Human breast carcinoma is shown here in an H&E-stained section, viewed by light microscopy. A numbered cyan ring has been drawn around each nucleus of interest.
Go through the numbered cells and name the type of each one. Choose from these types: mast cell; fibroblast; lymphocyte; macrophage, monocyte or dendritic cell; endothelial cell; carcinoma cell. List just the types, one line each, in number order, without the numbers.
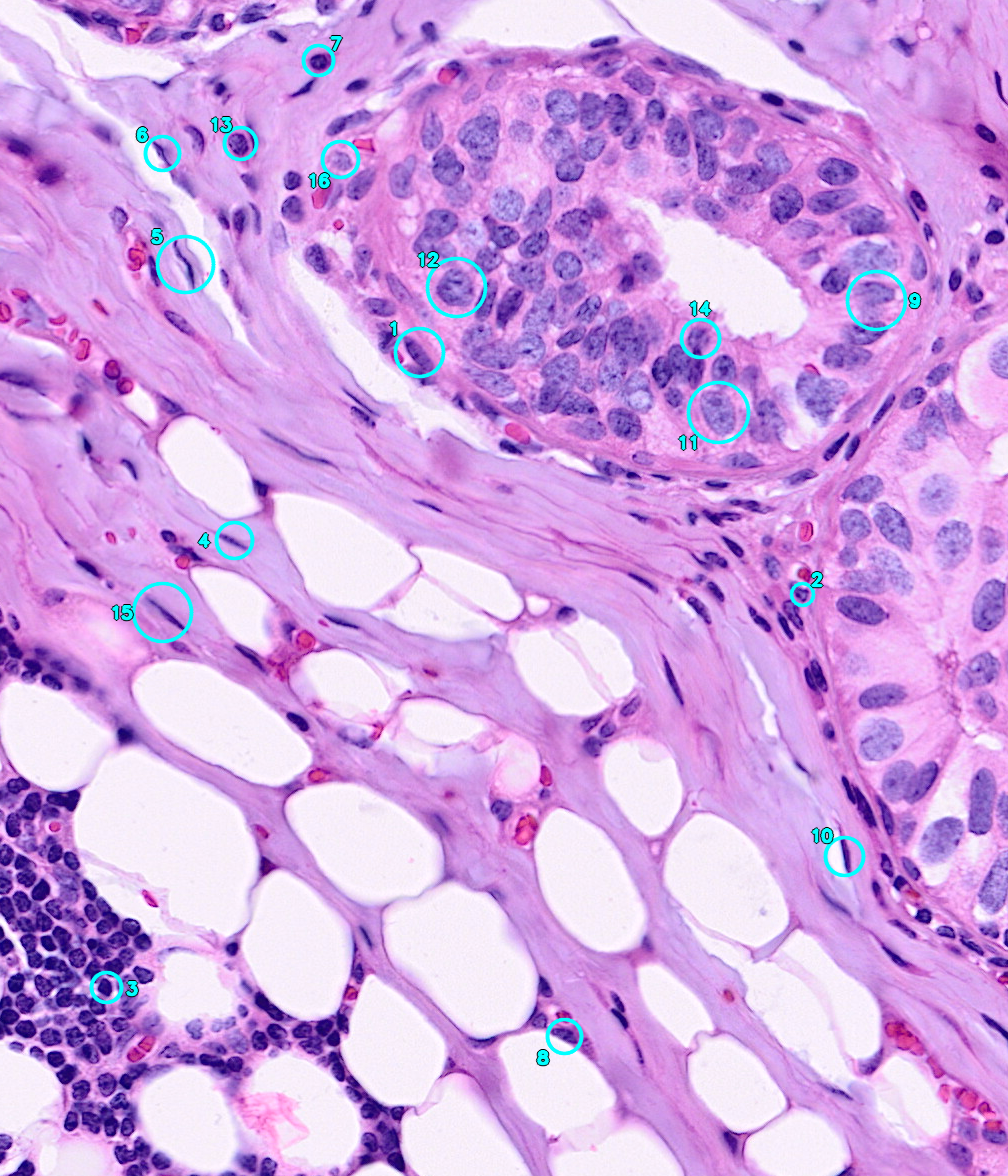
endothelial cell
endothelial cell
lymphocyte
fibroblast
fibroblast
fibroblast
mast cell
endothelial cell
carcinoma cell
fibroblast
carcinoma cell
carcinoma cell
mast cell
carcinoma cell
fibroblast
endothelial cell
